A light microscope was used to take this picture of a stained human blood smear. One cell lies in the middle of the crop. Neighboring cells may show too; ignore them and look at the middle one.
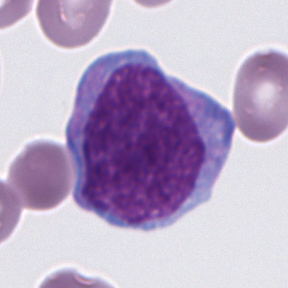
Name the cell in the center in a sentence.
The cell centered in this field of view is an atypical promyelocyte.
